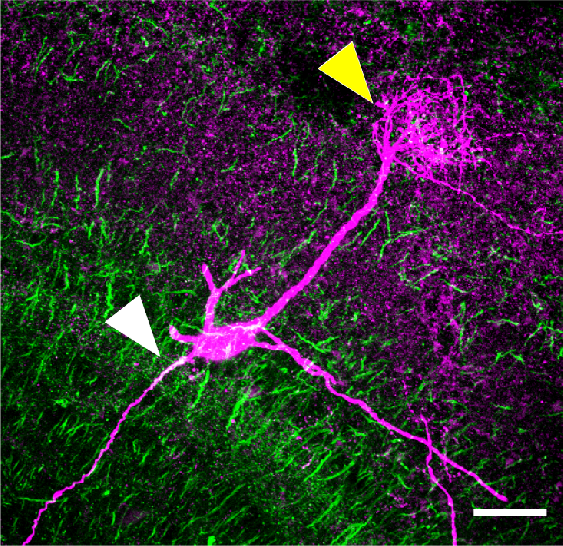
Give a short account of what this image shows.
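A single neuron filled in magenta stands out against a field of short green rod-like segments. Its large cell body lies in the lower middle of the field and sends out several thinner processes to the sides and downward. One thick process climbs diagonally to the upper right and ends in a dense, bushy tuft of fine branches. A thin process leaves the lower left of the cell body and runs down toward the corner, and the green segments are densest in the lower left part of the field.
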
